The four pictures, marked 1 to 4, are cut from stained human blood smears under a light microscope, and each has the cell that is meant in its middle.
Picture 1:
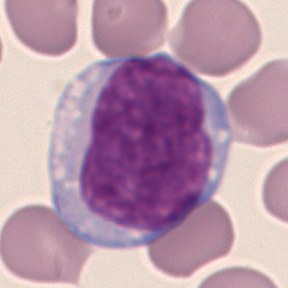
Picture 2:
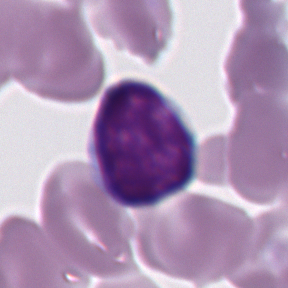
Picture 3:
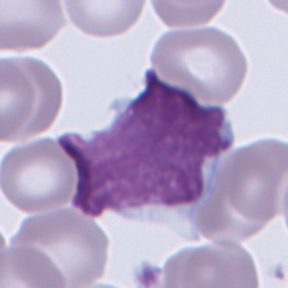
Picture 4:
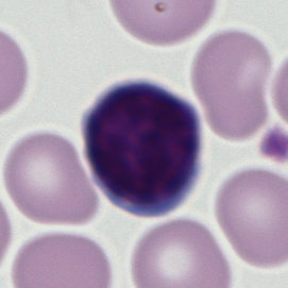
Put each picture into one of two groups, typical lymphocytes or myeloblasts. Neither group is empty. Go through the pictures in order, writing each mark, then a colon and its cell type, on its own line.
1: myeloblast
2: typical lymphocyte
3: typical lymphocyte
4: typical lymphocyte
